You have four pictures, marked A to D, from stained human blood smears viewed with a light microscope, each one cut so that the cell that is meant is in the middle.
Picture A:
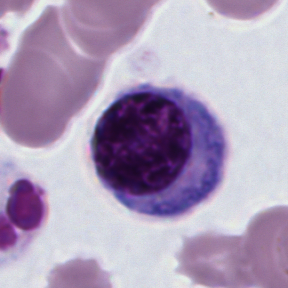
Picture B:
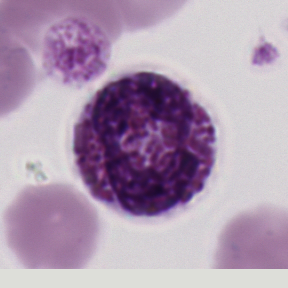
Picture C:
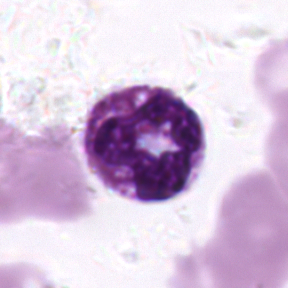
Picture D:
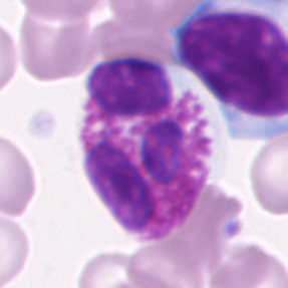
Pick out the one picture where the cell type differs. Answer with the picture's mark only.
A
